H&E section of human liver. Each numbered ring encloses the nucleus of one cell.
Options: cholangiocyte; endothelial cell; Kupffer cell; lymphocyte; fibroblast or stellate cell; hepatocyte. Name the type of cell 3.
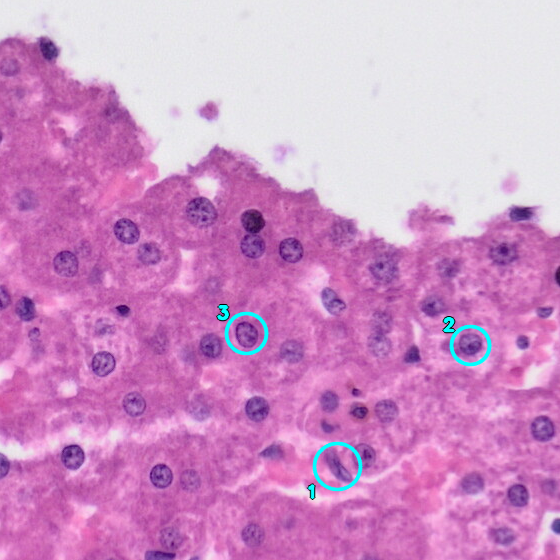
hepatocyte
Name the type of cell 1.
Kupffer cell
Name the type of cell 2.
hepatocyte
